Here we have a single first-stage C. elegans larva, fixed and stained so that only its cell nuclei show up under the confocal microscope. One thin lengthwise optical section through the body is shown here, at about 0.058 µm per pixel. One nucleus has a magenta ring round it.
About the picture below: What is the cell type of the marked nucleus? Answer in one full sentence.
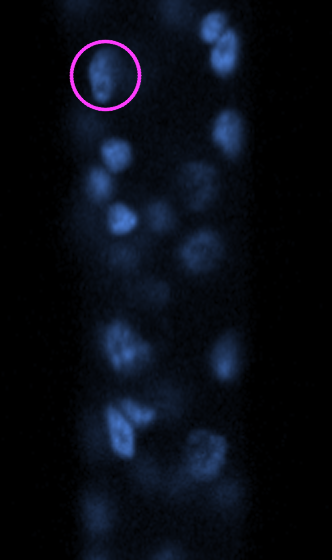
The cell with the marked nucleus is a P cell (ventral epidermal blast cell).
